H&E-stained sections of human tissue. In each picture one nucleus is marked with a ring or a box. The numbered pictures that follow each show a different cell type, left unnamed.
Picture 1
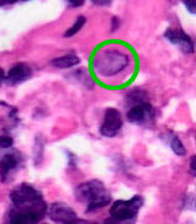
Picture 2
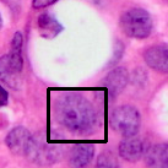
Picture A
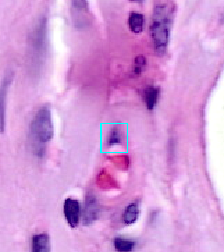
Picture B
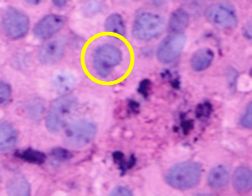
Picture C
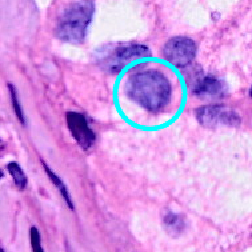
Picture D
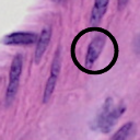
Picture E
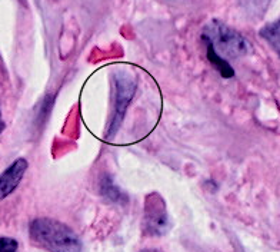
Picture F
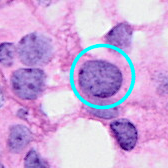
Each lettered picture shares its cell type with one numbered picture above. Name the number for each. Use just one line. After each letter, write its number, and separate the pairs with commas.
A 1, B 2, C 2, D 1, E 1, F 2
